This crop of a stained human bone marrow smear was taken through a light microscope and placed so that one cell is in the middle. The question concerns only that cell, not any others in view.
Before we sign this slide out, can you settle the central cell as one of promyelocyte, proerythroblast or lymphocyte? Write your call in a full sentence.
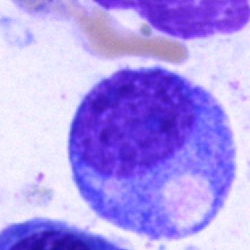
This crop is built around a promyelocyte at its centre.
